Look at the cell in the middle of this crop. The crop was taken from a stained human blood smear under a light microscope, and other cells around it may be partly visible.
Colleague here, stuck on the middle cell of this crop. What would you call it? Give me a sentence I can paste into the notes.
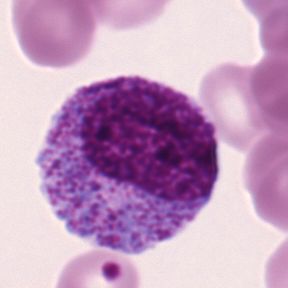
In the central position of this crop, the cell is a promyelocyte.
